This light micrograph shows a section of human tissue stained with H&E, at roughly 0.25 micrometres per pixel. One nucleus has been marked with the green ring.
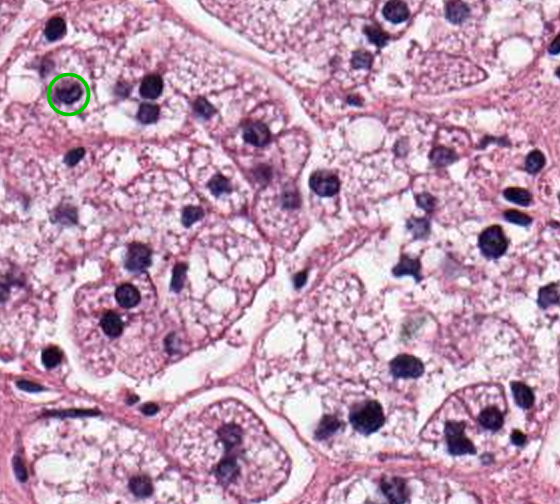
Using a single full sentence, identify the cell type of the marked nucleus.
Here the marked nucleus is part of an adrenal cortical cell.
